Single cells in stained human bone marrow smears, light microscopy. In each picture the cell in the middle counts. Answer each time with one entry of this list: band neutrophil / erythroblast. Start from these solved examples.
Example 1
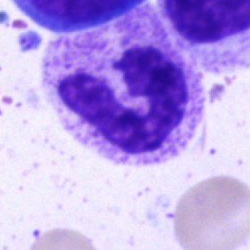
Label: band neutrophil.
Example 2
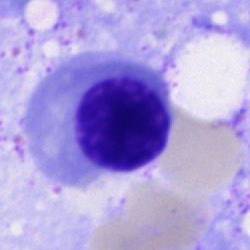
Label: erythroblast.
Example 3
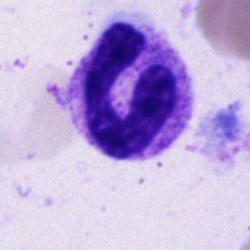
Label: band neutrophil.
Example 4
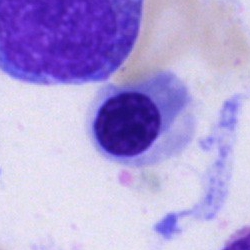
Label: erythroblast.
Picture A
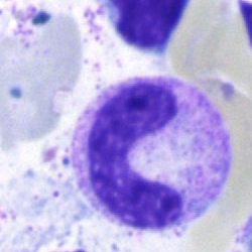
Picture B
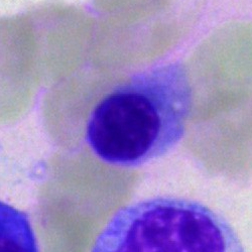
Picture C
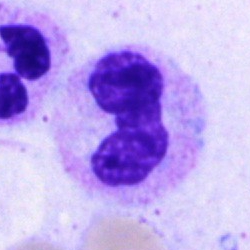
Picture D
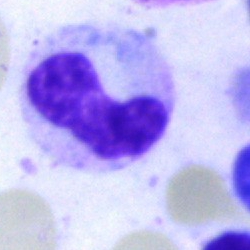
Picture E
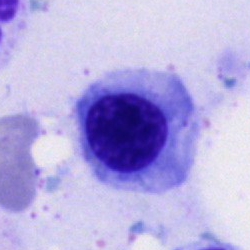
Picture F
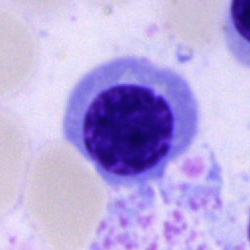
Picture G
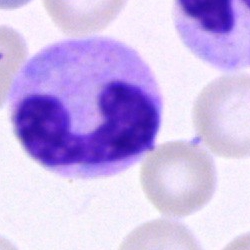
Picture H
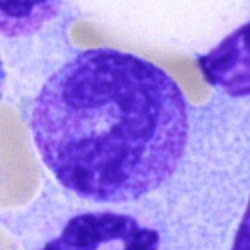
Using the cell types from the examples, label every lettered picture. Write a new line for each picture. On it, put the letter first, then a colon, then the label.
A: band neutrophil.
B: erythroblast.
C: band neutrophil.
D: band neutrophil.
E: erythroblast.
F: erythroblast.
G: band neutrophil.
H: band neutrophil.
